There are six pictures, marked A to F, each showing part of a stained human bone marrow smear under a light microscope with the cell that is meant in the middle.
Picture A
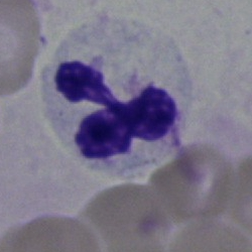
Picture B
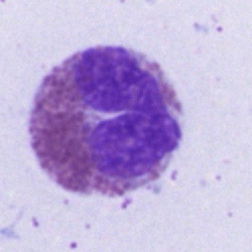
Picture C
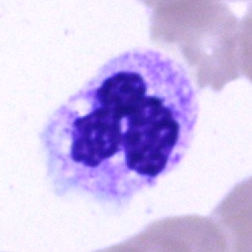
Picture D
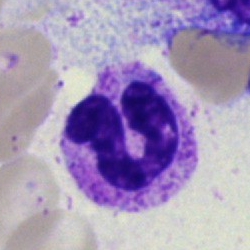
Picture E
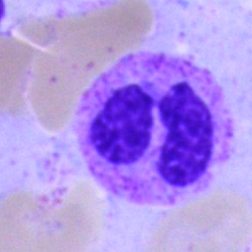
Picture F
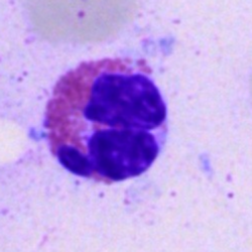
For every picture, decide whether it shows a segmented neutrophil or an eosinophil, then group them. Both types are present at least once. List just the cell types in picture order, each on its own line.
segmented neutrophil
eosinophil
segmented neutrophil
segmented neutrophil
segmented neutrophil
eosinophil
